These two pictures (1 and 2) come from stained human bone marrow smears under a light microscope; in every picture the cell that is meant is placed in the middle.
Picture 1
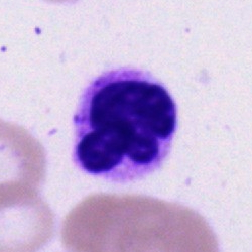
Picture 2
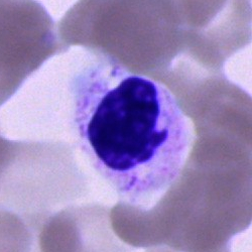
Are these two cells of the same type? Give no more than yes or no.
yes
